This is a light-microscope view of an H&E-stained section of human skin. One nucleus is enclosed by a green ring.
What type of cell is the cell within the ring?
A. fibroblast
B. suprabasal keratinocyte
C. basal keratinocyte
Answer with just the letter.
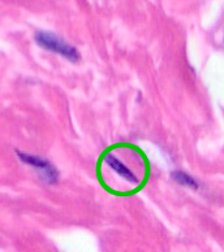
A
